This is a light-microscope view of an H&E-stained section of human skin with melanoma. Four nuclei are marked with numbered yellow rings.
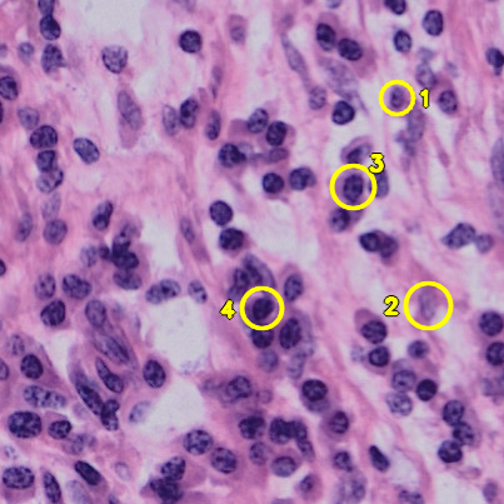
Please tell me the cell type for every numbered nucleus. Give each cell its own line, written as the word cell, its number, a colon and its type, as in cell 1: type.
cell 1: plasma cell
cell 2: fibroblast or myofibroblast
cell 3: plasma cell
cell 4: plasma cell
